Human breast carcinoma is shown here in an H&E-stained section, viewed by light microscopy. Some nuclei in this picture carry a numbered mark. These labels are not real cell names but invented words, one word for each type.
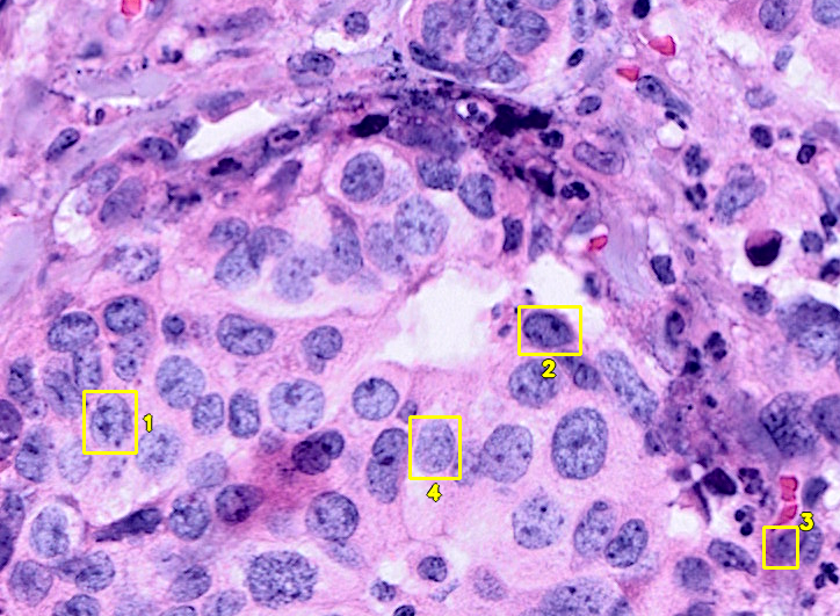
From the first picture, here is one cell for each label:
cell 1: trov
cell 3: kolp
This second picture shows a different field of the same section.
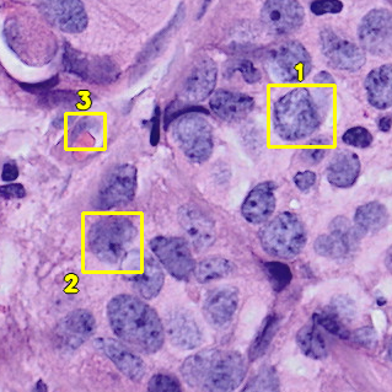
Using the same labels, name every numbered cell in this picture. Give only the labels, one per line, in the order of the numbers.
trov
trov
kolp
